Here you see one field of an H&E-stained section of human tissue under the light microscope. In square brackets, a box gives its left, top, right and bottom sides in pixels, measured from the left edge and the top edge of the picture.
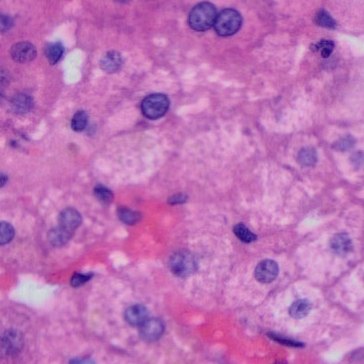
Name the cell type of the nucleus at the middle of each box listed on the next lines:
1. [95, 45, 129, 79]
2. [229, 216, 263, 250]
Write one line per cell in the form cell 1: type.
cell 1: hepatocyte
cell 2: fibroblast or stellate cell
